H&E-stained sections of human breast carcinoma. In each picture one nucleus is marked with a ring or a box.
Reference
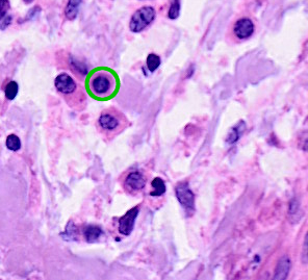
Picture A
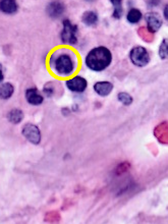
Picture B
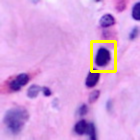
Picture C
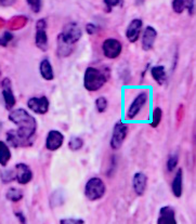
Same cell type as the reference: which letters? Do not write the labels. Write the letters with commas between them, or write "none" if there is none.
none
